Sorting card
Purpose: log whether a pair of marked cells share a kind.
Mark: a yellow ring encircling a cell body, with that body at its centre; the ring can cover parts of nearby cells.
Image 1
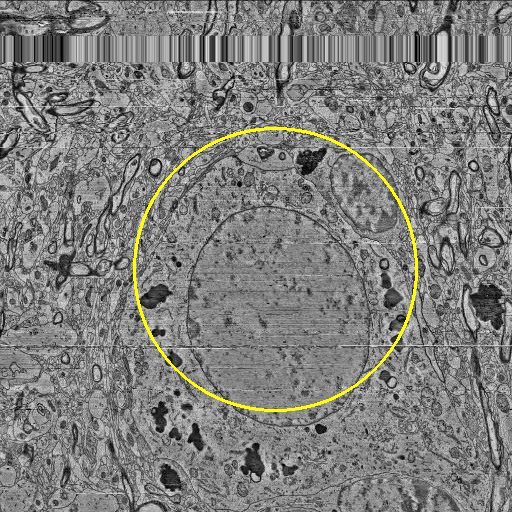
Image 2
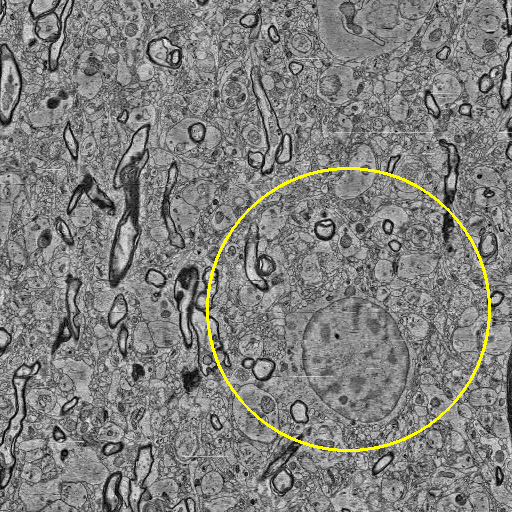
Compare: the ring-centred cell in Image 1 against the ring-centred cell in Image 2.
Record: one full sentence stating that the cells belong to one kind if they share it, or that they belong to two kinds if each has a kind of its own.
Across Images 1 and 2, the two ring-centred cells belong to two kinds.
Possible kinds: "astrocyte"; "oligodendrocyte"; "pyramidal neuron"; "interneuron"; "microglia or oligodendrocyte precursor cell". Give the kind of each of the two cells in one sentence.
The cell in the second picture is an oligodendrocyte, and that in the first is a pyramidal neuron.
